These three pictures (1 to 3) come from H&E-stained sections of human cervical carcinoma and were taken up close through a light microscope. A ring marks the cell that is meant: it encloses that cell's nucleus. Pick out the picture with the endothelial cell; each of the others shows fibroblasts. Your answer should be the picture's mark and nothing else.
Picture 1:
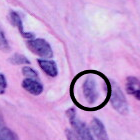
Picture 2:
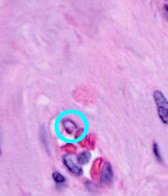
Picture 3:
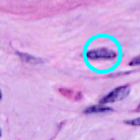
2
